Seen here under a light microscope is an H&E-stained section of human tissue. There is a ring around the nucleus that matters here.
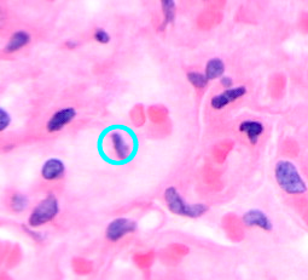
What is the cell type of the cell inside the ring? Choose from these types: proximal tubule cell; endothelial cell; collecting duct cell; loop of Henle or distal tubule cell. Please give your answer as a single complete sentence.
The correct response here is that the cell inside the ring is an endothelial cell.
